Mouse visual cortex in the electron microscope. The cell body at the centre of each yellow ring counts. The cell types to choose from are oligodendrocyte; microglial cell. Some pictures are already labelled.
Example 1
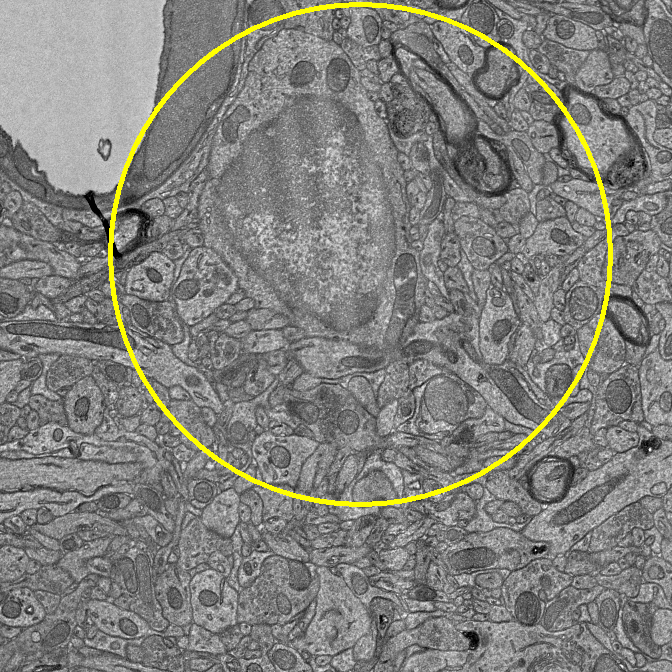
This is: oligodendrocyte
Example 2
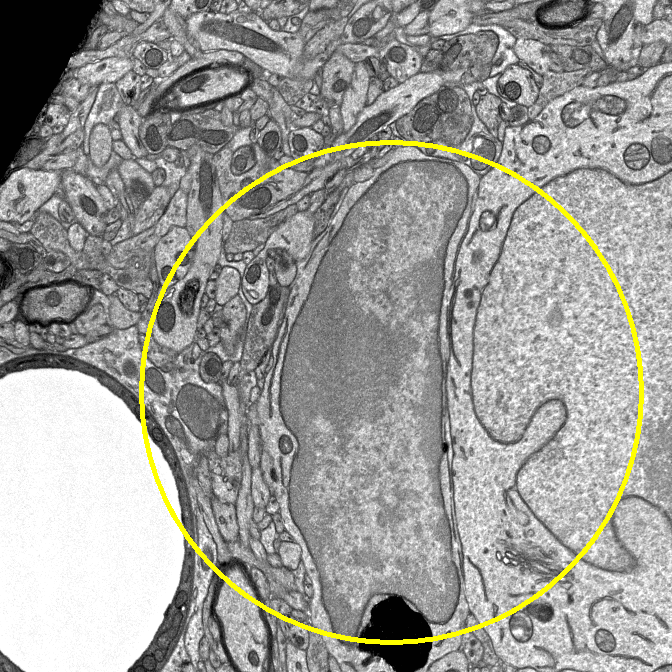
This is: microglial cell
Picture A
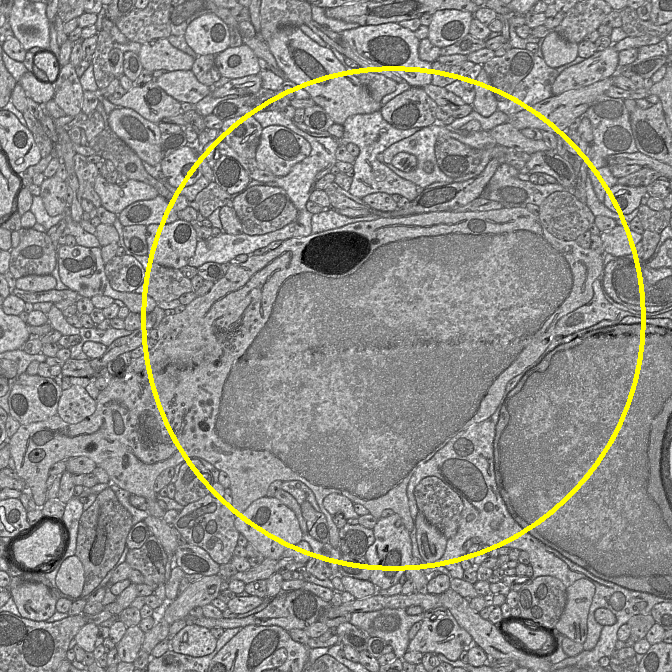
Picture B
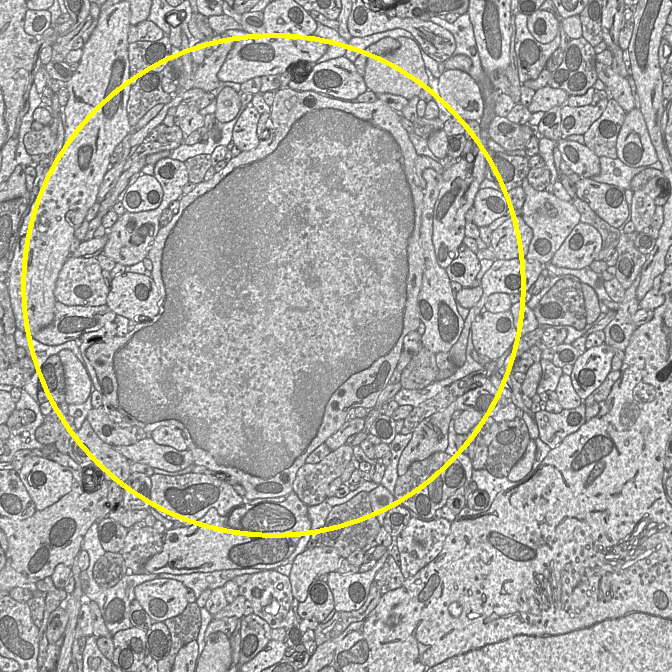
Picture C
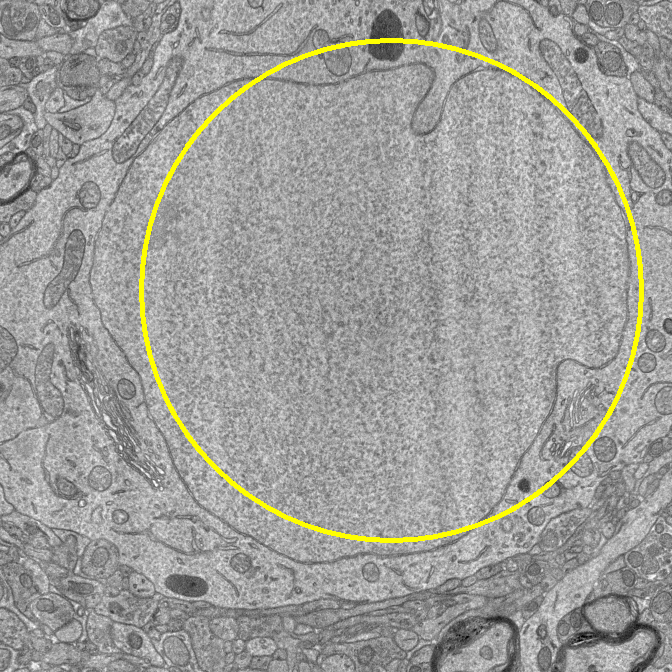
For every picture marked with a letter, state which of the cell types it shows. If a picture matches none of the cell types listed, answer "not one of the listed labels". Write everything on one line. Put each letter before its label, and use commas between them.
A microglial cell, B microglial cell, C not one of the listed labels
